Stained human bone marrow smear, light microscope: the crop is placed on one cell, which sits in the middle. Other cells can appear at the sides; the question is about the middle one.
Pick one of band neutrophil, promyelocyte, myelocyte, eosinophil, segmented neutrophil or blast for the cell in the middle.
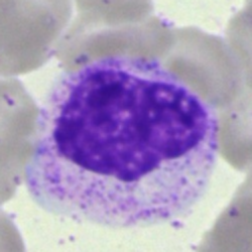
myelocyte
